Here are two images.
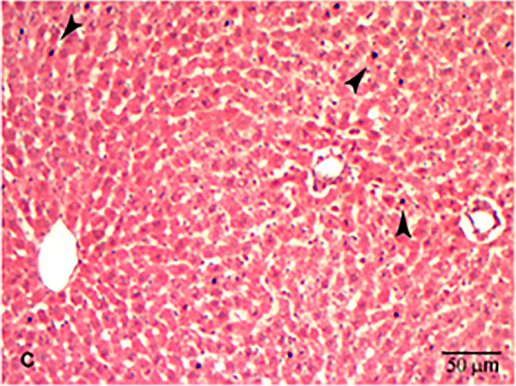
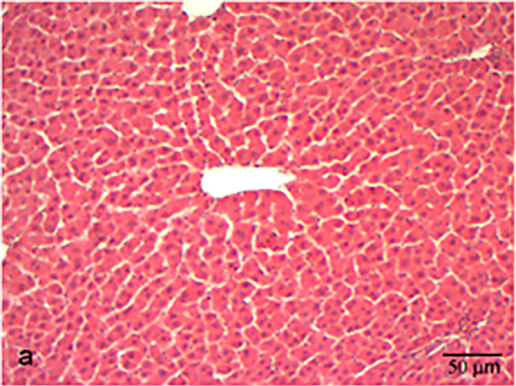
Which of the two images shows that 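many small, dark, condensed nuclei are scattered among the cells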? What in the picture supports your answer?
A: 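Second image: nuclei are uniform and pale, with no dense dark dots. First image: numerous small intensely dark blue nuclei stand out among paler cells. So: the first image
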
